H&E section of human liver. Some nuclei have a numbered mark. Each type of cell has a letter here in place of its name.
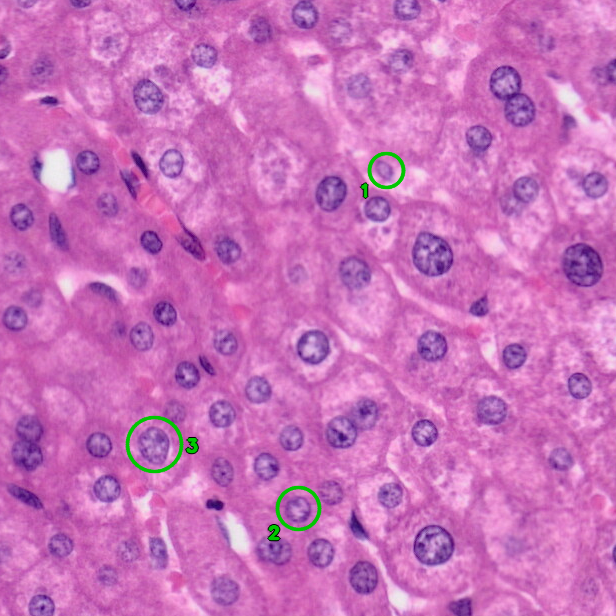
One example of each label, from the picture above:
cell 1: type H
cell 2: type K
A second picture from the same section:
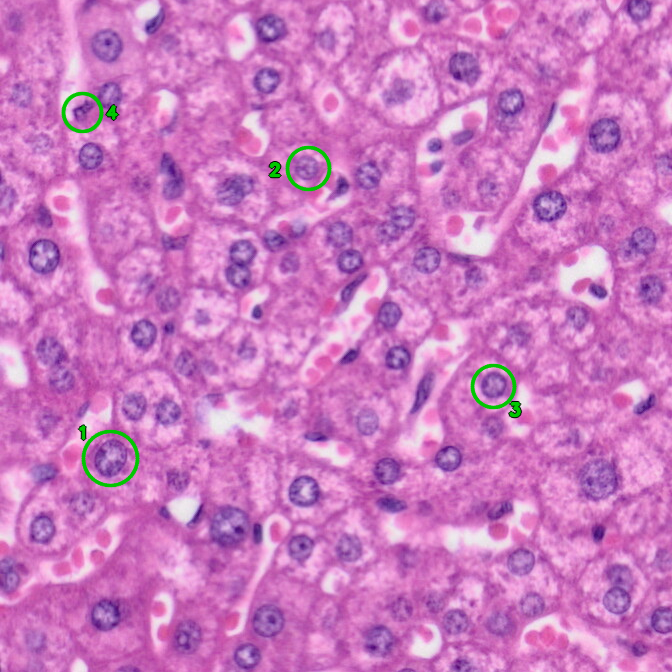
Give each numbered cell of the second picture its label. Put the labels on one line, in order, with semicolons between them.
type K; type K; type K; type H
